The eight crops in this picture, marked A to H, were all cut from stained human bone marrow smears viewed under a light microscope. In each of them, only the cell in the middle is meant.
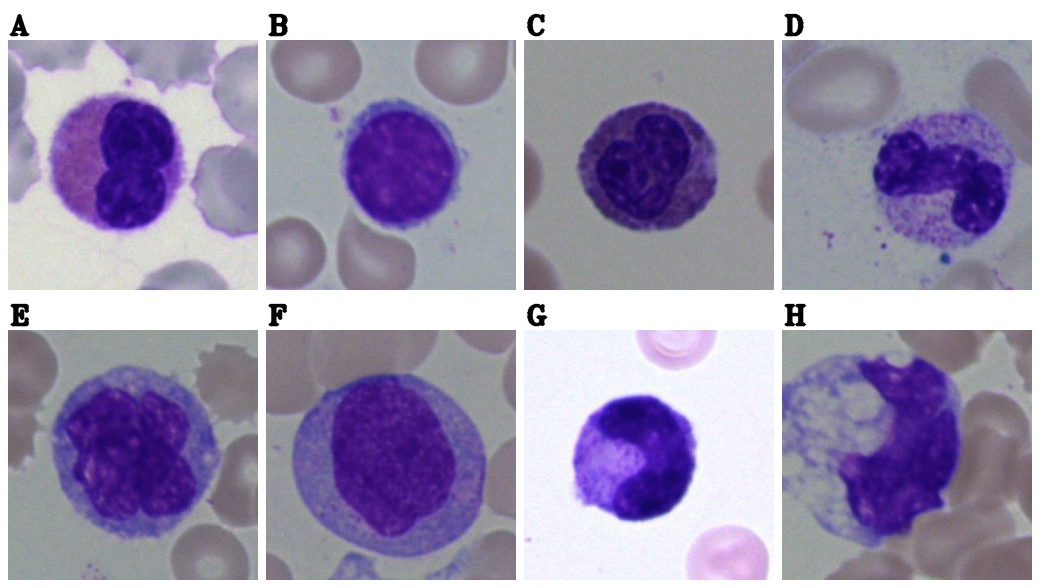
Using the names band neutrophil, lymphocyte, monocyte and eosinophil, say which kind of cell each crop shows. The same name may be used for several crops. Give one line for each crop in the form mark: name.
A: eosinophil
B: lymphocyte
C: eosinophil
D: band neutrophil
E: monocyte
F: monocyte
G: band neutrophil
H: monocyte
